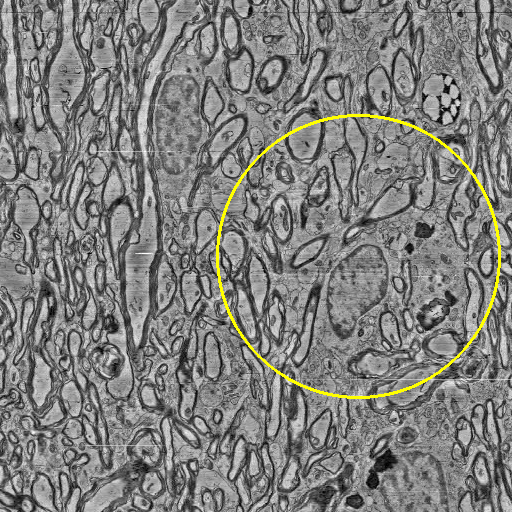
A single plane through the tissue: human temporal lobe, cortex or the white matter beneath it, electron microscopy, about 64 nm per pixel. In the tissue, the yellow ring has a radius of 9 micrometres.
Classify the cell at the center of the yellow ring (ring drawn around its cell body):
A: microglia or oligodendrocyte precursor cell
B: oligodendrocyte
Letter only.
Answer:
A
